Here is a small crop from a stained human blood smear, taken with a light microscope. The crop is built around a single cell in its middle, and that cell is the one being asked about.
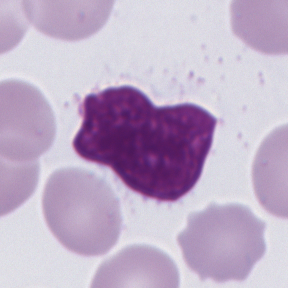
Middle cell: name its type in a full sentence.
The cell marked by its central position in the crop is a smudge cell.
